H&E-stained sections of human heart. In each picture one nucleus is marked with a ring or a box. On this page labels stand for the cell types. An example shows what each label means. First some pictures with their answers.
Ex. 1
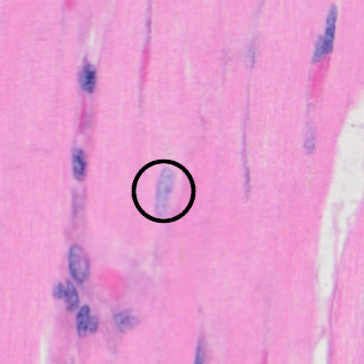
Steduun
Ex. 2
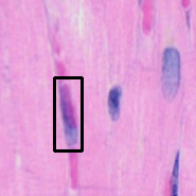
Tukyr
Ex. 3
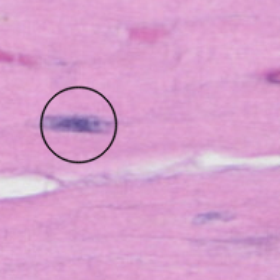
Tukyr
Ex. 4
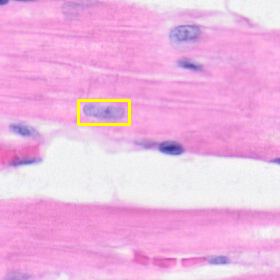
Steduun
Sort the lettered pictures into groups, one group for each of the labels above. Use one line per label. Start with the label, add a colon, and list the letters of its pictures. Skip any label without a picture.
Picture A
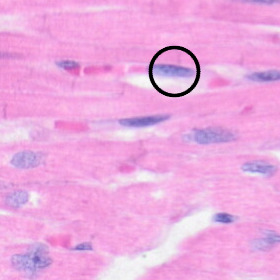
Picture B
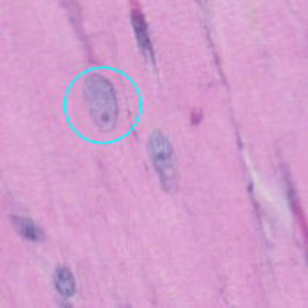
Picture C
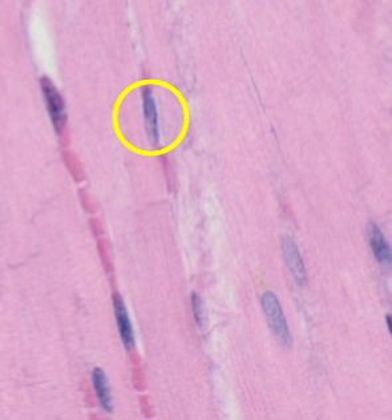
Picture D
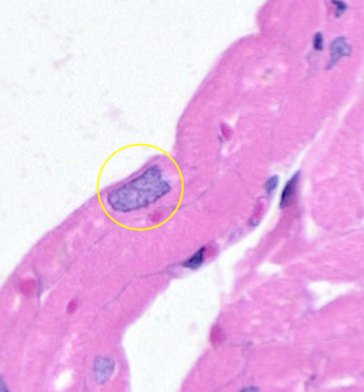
Steduun: B, D
Tukyr: A, C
